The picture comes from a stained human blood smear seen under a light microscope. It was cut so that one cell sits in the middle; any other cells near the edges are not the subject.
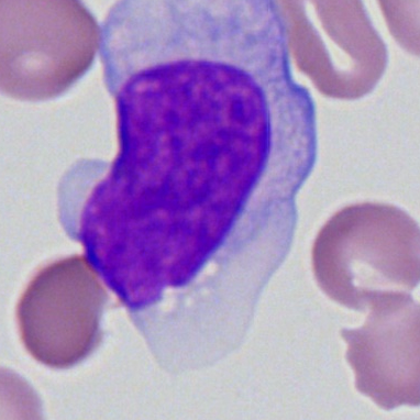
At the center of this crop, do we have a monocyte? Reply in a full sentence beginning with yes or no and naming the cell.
Yes, the cell positioned at the centre of the crop is a monocyte.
